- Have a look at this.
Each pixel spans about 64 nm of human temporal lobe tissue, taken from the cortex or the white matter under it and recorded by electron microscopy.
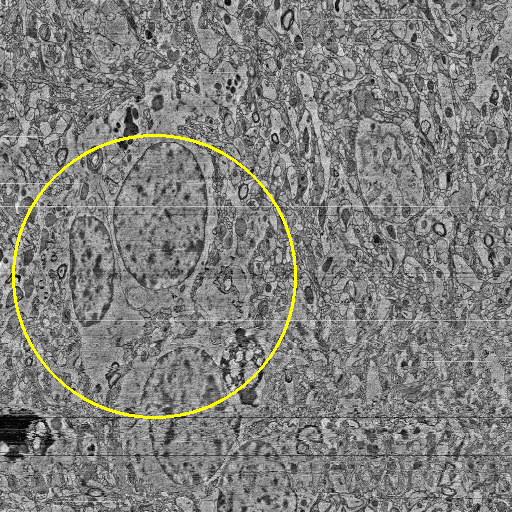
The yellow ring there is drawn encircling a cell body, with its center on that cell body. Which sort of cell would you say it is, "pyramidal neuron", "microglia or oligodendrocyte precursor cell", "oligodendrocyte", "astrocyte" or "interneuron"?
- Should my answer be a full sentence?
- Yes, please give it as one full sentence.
For this picture, an astrocyte is the cell where the yellow ring has its center.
